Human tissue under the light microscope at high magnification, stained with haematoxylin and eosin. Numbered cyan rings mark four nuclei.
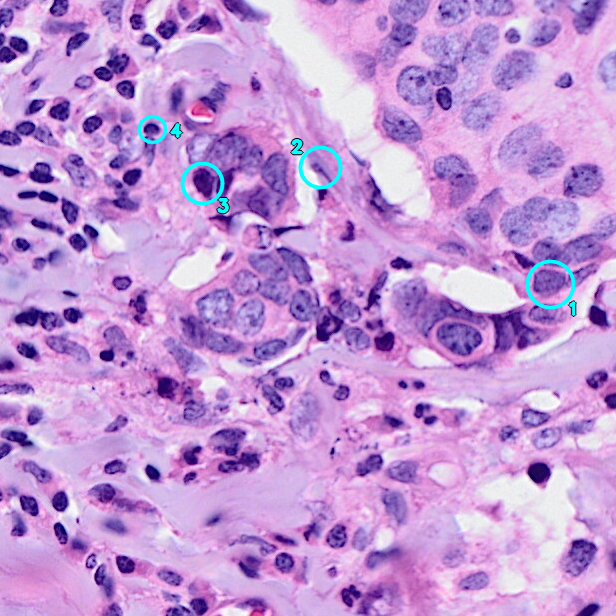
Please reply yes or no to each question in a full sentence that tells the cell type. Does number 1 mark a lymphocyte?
No, the cell numbered 1 is a carcinoma cell rather than a lymphocyte.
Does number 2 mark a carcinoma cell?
No, the cell carrying number 2 is a fibroblast rather than a carcinoma cell.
